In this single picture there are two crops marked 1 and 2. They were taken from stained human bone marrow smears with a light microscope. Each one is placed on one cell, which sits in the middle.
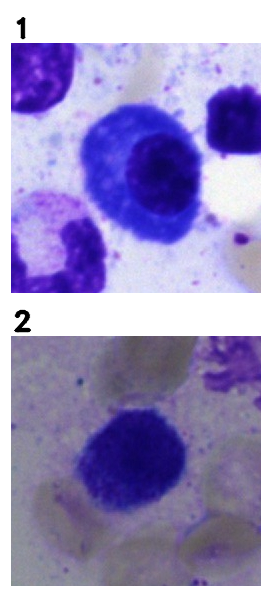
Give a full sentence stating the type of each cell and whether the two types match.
No, a plasma cell is the cell in crop 1; a lymphocyte is the cell in crop 2.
